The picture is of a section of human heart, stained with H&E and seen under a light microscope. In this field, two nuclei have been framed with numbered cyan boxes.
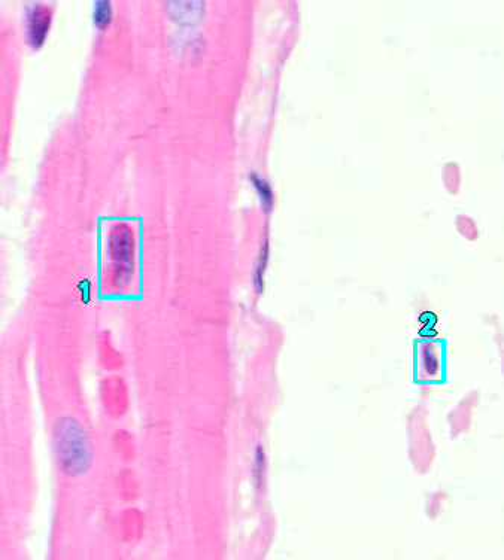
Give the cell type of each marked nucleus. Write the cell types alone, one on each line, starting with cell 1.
endothelial cell
fibroblast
